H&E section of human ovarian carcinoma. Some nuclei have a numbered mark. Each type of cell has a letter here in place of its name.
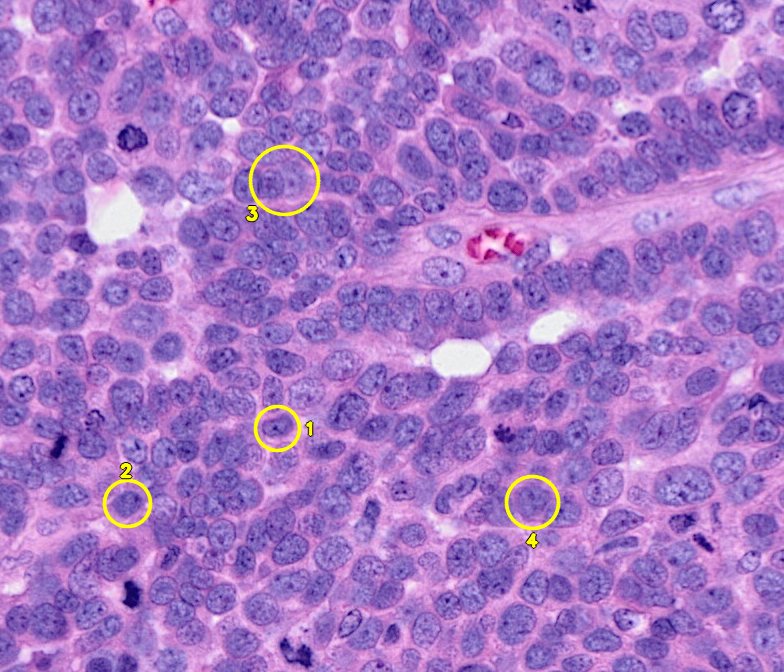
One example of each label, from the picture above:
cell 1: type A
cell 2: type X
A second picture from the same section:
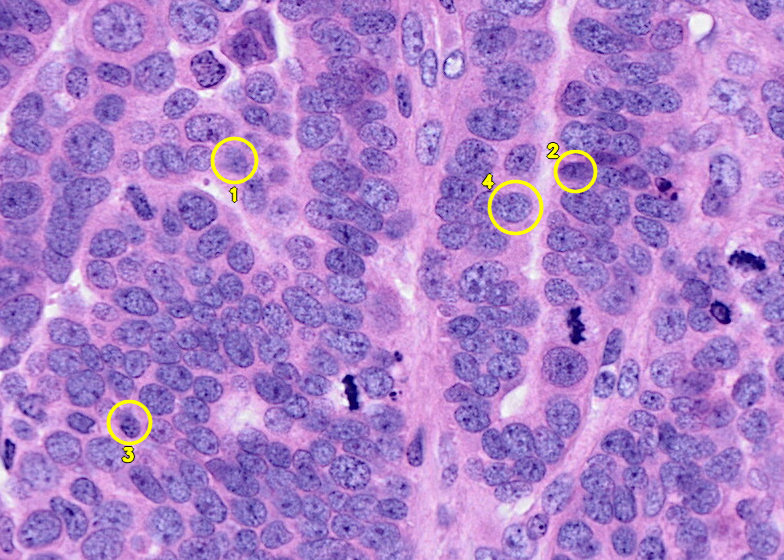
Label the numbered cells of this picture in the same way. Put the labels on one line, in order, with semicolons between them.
type X; type X; type A; type X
